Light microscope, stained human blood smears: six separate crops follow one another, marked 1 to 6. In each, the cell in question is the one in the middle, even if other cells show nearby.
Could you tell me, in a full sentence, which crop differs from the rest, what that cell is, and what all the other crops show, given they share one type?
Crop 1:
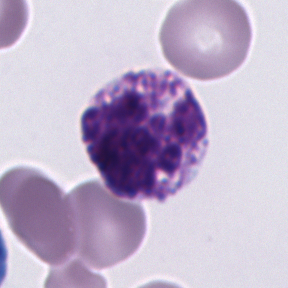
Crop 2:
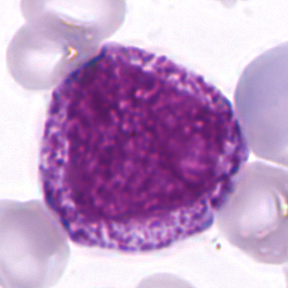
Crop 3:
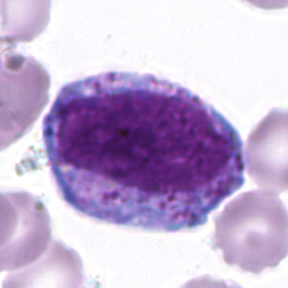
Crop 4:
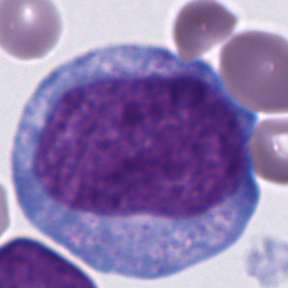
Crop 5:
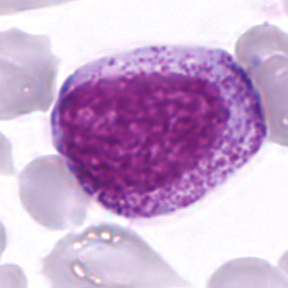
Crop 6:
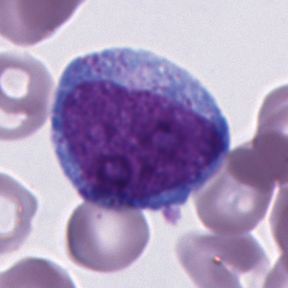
All of the other crops show promyelocytes, while crop 1 shows a basophil instead.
